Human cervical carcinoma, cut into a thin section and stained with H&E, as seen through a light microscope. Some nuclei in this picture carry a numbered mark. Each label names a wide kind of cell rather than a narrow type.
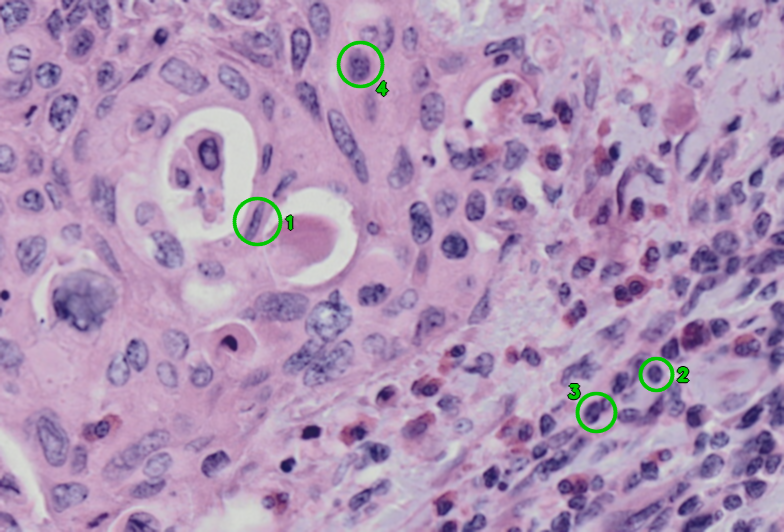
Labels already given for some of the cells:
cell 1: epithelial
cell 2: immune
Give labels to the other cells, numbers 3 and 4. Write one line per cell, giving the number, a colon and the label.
3: immune
4: epithelial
